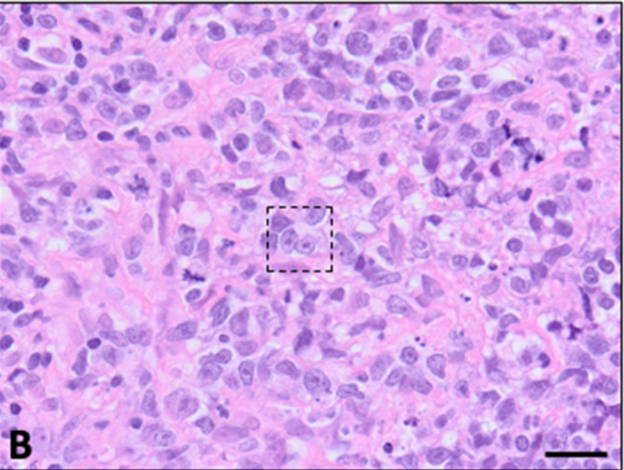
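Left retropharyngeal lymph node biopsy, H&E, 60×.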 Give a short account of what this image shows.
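Here the neoplasm is made of large round to oval cells with open, pale nuclei and scant cytoplasm, set in pink stroma with several mitotic figures visible. In the dashed box a larger cell shows two nuclei side by side, the look of a possible Reed–Sternberg cell.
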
